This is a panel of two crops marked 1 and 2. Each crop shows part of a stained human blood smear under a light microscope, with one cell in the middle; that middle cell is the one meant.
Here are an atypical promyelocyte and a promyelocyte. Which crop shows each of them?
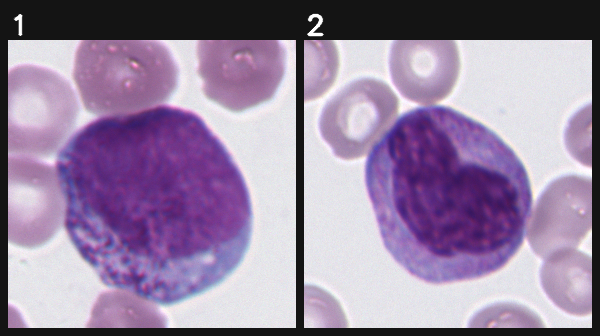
1: promyelocyte
2: atypical promyelocyte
